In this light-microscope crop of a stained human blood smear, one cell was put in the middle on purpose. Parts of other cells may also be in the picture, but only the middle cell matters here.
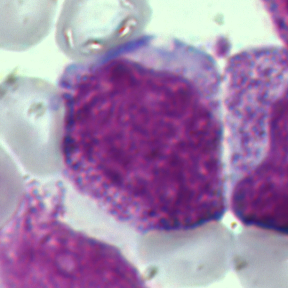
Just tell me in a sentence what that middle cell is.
The middle of this crop holds a promyelocyte.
